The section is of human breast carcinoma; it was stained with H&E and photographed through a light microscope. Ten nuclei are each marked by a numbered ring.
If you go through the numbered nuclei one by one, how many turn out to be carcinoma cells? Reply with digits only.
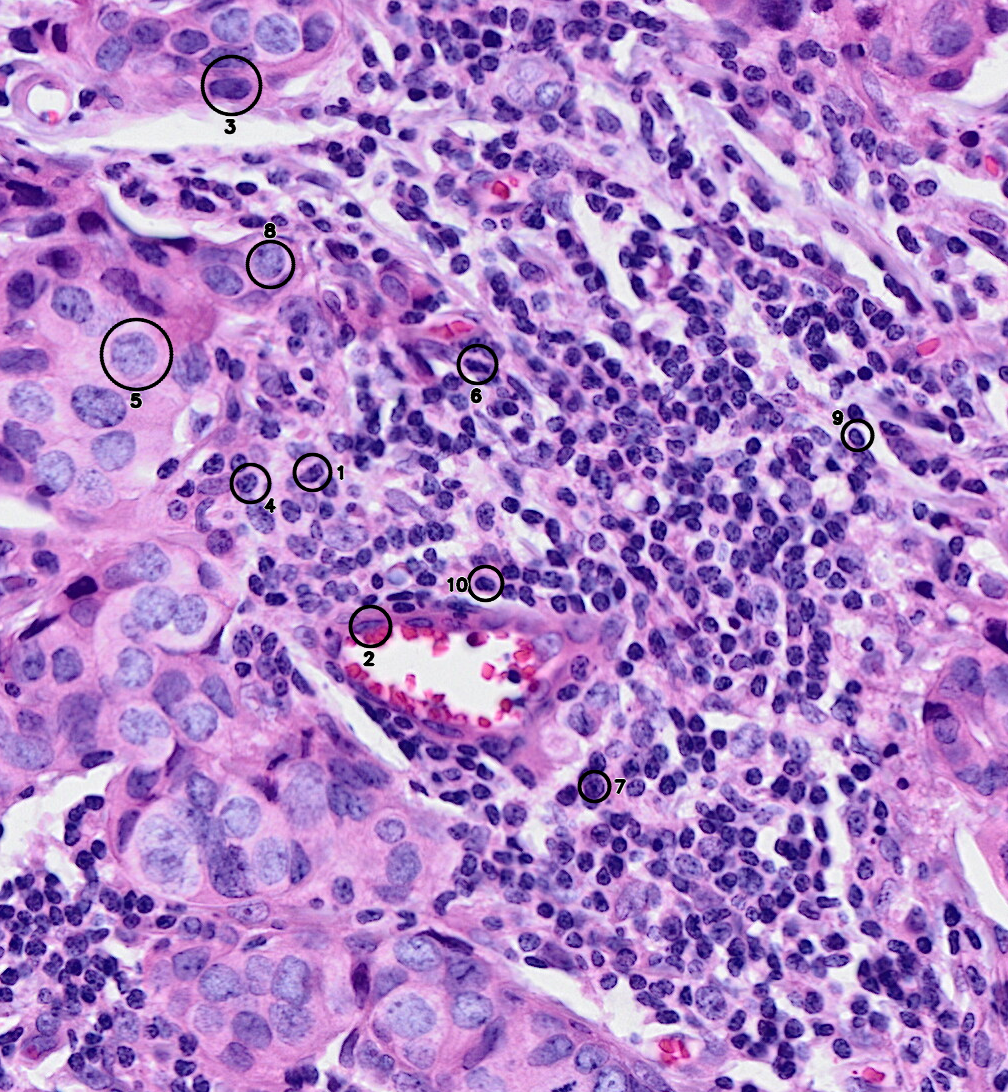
3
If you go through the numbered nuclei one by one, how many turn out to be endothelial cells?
1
